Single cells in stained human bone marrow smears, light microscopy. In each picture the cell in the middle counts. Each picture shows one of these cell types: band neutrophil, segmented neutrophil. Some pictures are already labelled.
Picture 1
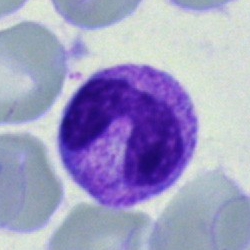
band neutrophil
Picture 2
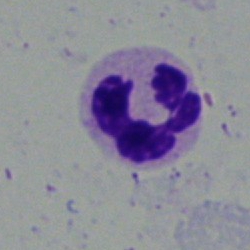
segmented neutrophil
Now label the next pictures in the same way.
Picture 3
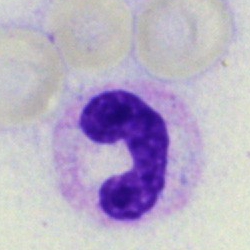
band neutrophil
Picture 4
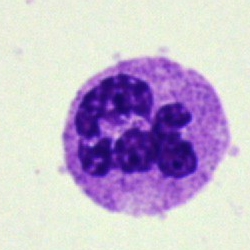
segmented neutrophil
